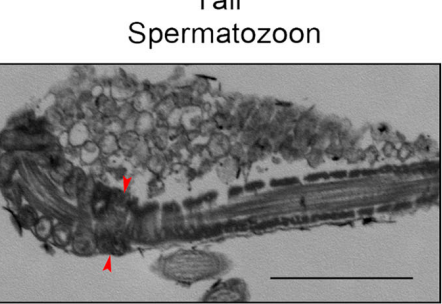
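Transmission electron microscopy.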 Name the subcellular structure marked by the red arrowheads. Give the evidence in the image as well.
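Annulus structure. The arrowheads point to a dense ring-like thickening in the flagellum. The dense thickening lies at the end of the row of mitochondria along the flagellum.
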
